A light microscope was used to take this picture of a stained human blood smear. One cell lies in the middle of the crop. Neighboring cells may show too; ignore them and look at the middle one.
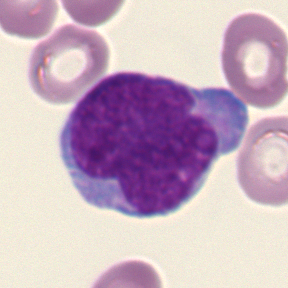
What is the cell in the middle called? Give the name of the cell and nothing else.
atypical promyelocyte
